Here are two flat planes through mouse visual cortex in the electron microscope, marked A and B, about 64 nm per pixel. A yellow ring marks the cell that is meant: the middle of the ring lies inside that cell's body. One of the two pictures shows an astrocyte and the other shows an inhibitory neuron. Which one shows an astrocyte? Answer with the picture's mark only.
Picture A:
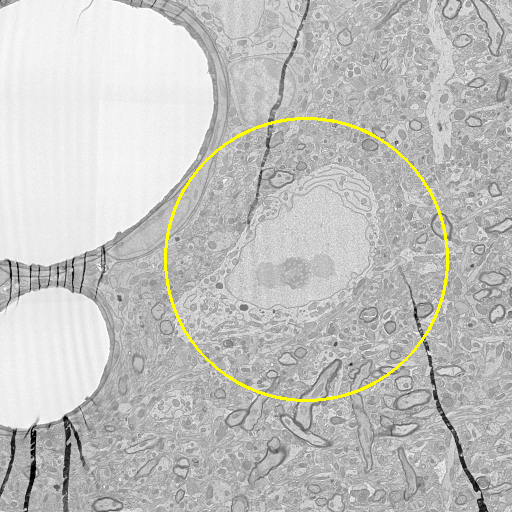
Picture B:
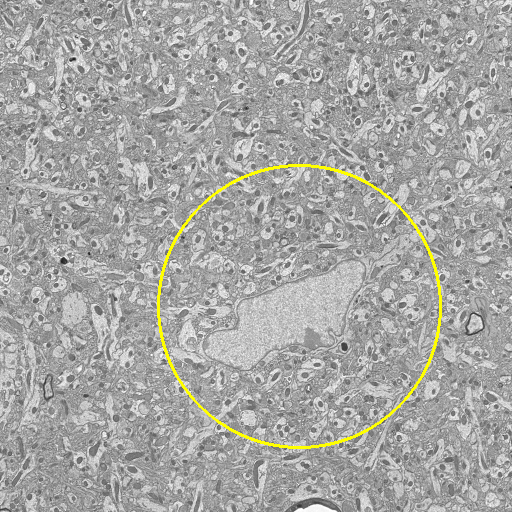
B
